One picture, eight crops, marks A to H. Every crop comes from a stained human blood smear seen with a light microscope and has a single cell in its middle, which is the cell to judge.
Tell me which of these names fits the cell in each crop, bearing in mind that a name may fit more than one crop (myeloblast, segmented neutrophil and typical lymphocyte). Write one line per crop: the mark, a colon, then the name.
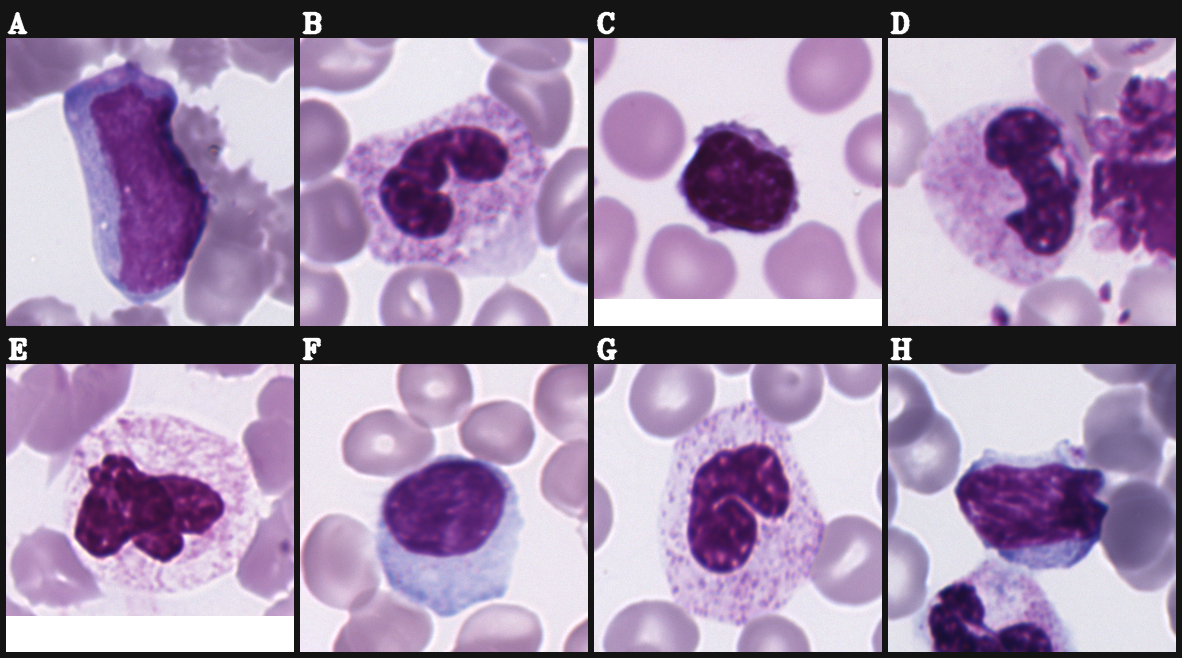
A: myeloblast
B: segmented neutrophil
C: typical lymphocyte
D: segmented neutrophil
E: segmented neutrophil
F: typical lymphocyte
G: segmented neutrophil
H: typical lymphocyte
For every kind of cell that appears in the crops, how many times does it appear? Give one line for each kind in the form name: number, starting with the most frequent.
segmented neutrophil: 4
typical lymphocyte: 3
myeloblast: 1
